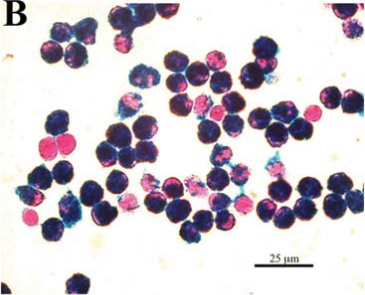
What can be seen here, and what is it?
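Many are stained an intense dark blue to purple, so dense that the nucleus is hard to make out. Others keep the pink-red counterstain, with a few blue granules or patches. Bright blue flecks also cling to the cell edges and to spots between touching cells. The contrast between deeply blue cells and pink ones shows that cells differ in how much blue-stained material they carry.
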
